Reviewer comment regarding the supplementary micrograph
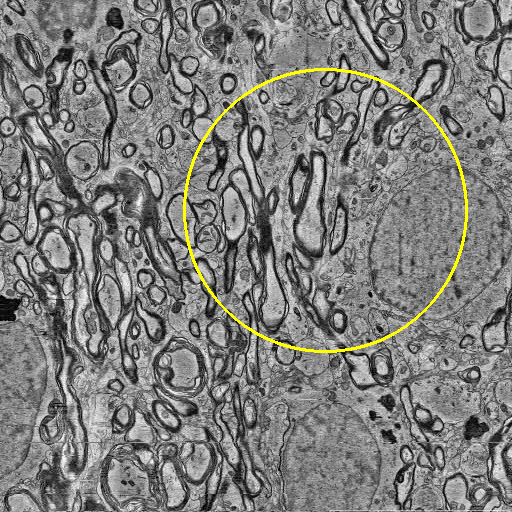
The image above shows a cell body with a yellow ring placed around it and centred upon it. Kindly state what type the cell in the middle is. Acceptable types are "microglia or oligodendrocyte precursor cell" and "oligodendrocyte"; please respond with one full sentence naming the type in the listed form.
In the image above, the cell on which the yellow ring is centred is a microglial cell or oligodendrocyte precursor cell.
